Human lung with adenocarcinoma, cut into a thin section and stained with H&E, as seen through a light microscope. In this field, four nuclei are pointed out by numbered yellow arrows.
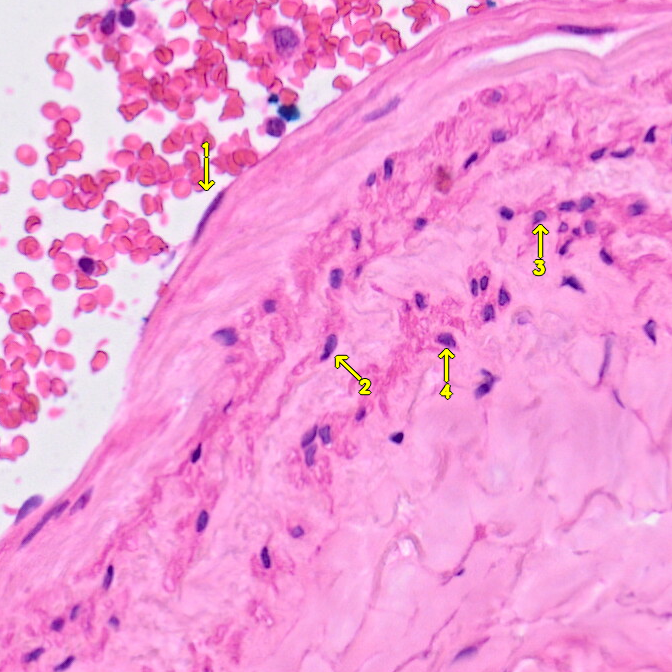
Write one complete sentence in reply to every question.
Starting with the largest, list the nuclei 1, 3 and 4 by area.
Largest first, the order by area is 1, 4, 3.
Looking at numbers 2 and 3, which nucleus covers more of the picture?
Nucleus 2 covers more area, about 2 times as much as nucleus 3.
